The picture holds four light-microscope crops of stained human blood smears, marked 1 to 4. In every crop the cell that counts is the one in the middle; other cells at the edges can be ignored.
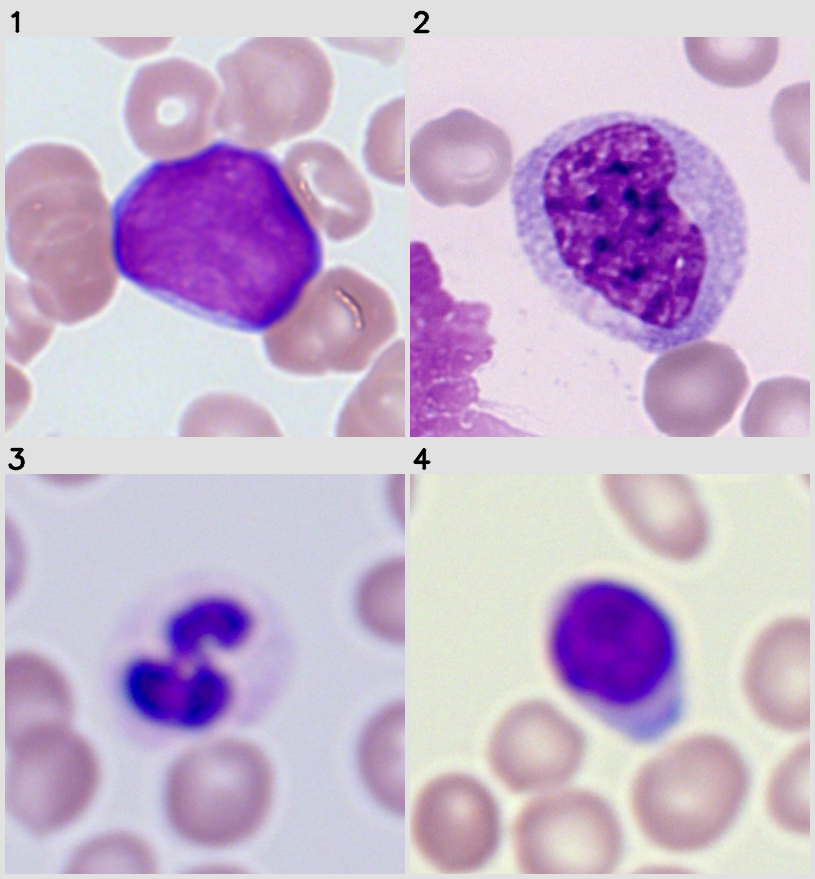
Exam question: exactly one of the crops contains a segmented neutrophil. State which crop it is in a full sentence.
In this set, crop 3 is the one showing a segmented neutrophil.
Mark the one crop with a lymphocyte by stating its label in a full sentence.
Among all the crops given here, the one with a lymphocyte is crop 4.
